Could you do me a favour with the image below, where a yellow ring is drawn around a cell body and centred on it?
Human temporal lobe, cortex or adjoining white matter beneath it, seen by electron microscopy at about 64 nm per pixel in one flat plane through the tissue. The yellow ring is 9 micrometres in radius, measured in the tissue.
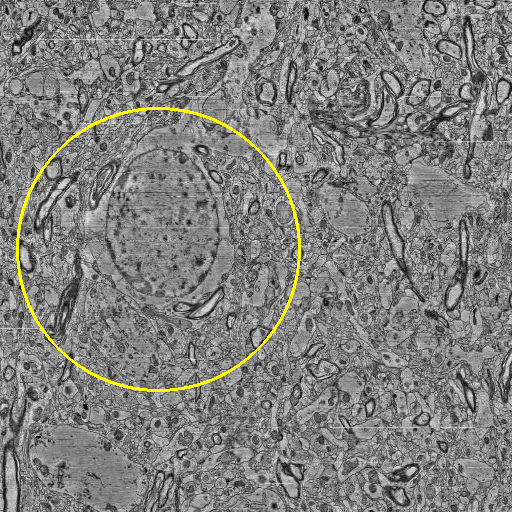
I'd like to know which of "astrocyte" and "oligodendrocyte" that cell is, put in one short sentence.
The cell at the ring's centre is an astrocyte.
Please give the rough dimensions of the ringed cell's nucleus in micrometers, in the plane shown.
About 10 by 7 micrometers for the nucleus, in this plane.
